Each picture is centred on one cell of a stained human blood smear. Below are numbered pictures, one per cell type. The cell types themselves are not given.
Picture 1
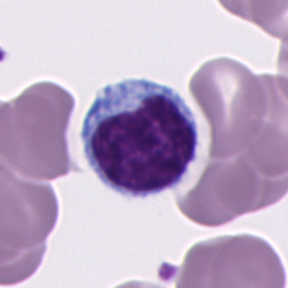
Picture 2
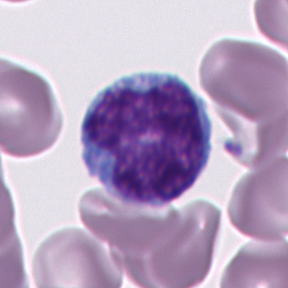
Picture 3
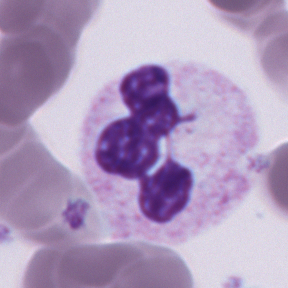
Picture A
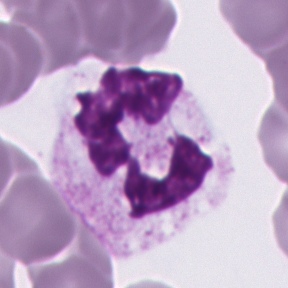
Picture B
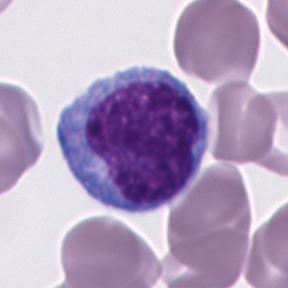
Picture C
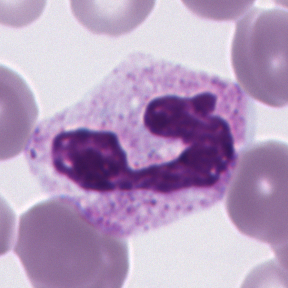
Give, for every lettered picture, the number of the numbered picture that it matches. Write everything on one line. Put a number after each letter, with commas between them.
A 3, B 2, C 3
